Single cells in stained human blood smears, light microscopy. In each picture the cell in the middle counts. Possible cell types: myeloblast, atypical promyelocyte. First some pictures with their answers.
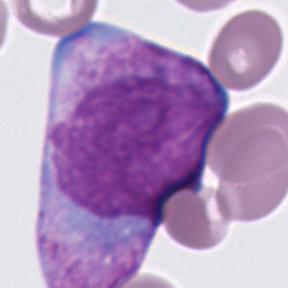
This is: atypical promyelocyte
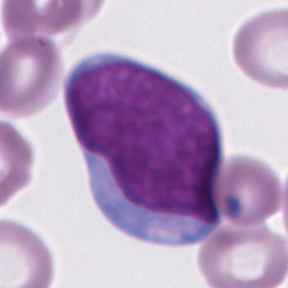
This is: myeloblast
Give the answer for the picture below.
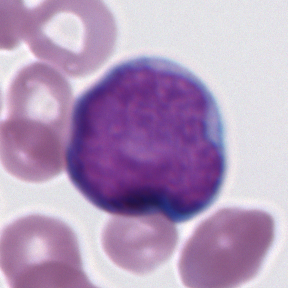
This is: myeloblast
